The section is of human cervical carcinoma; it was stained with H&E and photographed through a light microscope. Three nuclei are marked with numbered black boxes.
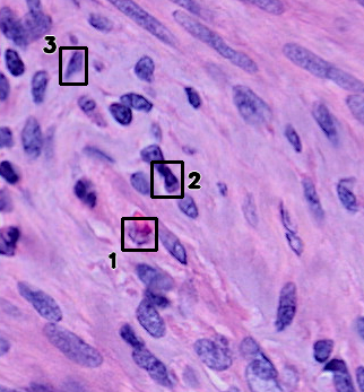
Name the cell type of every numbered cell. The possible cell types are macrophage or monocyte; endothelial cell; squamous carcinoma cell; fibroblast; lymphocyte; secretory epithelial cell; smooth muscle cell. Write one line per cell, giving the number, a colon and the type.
1: endothelial cell
2: lymphocyte
3: fibroblast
